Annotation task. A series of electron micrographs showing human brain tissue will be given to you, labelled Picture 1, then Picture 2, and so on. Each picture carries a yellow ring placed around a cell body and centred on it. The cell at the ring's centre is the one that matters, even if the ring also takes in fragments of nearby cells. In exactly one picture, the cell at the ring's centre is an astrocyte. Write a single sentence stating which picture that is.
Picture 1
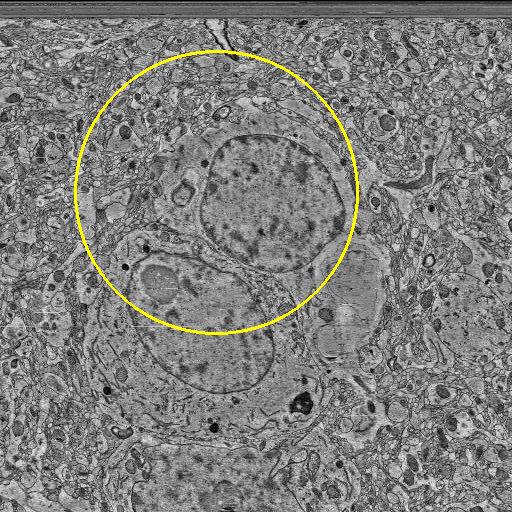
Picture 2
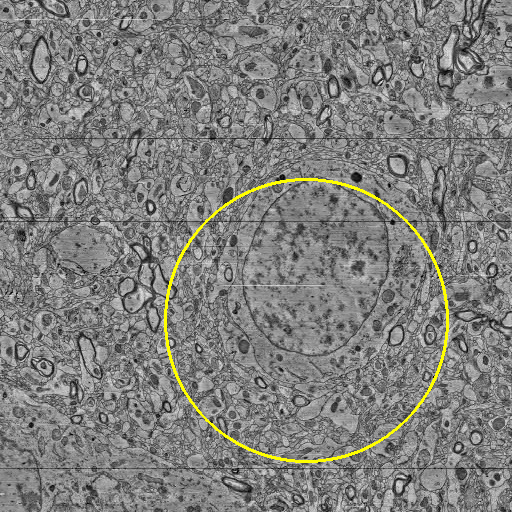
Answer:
Picture 1 holds the requested cell at the very centre of its ring.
